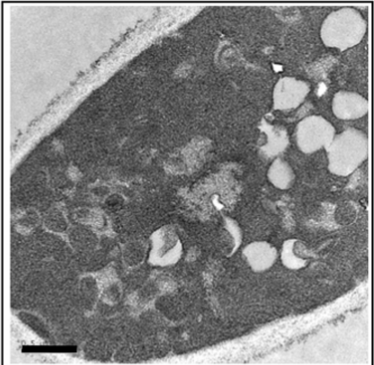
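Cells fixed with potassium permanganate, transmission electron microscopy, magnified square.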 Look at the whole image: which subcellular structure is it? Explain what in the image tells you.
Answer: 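Many pale, round to irregular membrane-bounded compartments lie clustered inside the dense cytoplasm. Fainter ring- and whorl-shaped membranous profiles are scattered through the cytoplasm.
Hence: Intracellular membranous and vacuolar structures.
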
